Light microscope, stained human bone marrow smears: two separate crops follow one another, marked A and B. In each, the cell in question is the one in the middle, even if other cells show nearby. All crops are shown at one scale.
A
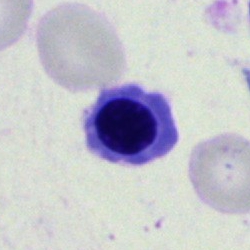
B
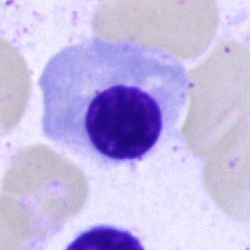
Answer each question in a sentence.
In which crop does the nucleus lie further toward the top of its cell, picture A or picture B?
It is the nucleus in picture A that lies further toward the top of its cell.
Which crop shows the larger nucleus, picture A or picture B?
It is the nucleus in picture B, about 1.5 times as large in area as the one in picture A.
